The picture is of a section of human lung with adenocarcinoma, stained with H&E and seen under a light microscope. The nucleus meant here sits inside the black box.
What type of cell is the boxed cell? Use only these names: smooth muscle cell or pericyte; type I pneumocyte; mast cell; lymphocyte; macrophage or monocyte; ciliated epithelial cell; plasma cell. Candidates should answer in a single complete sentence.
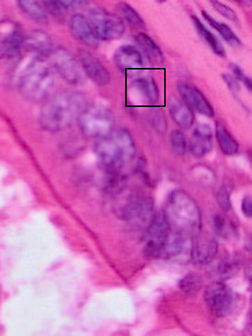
With respect to cell type, the boxed cell is a ciliated epithelial cell.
